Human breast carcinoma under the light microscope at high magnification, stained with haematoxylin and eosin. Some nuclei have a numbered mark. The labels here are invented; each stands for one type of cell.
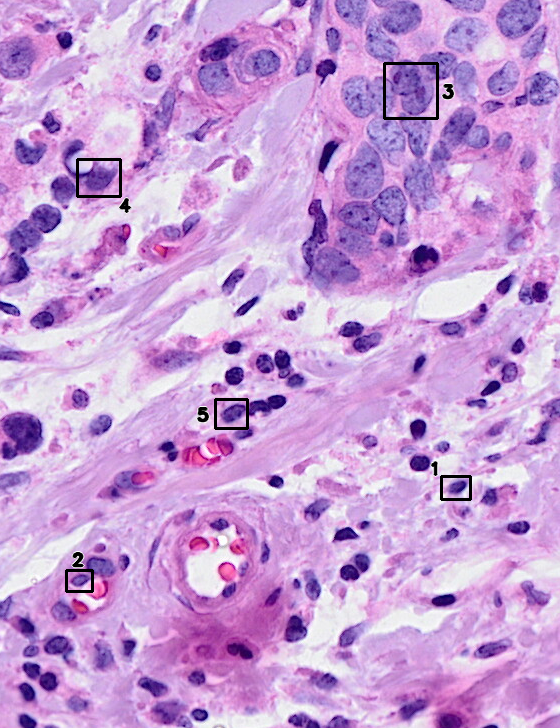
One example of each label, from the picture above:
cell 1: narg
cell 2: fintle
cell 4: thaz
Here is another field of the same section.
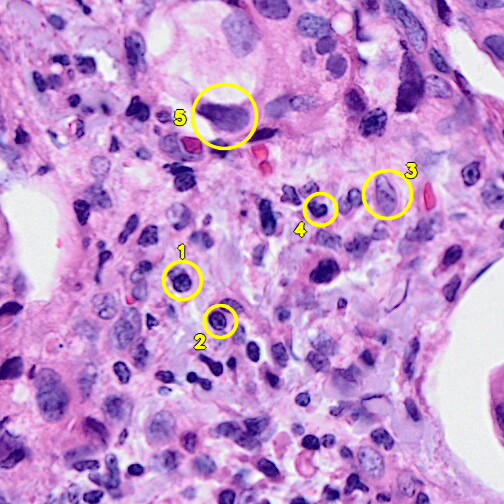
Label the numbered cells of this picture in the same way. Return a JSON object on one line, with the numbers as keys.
{"1": "narg", "2": "narg", "3": "fintle", "4": "narg", "5": "thaz"}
